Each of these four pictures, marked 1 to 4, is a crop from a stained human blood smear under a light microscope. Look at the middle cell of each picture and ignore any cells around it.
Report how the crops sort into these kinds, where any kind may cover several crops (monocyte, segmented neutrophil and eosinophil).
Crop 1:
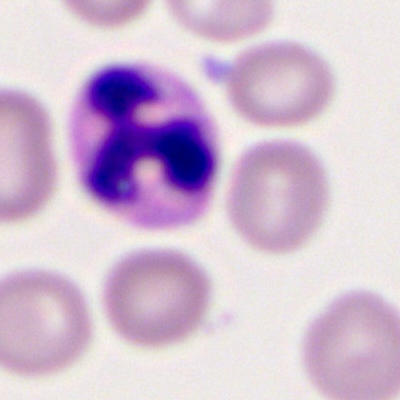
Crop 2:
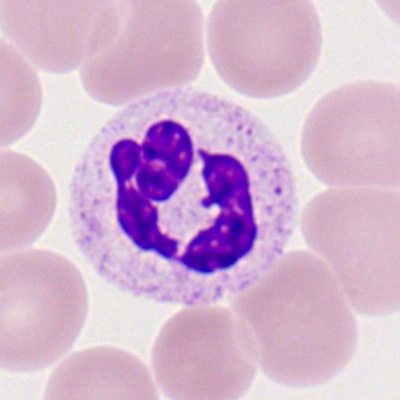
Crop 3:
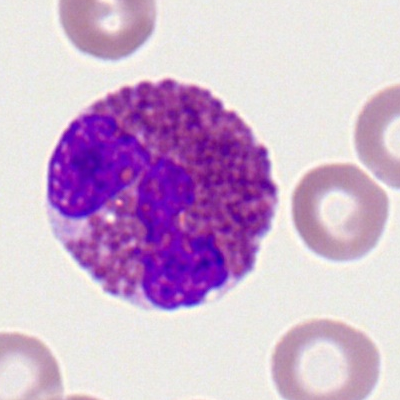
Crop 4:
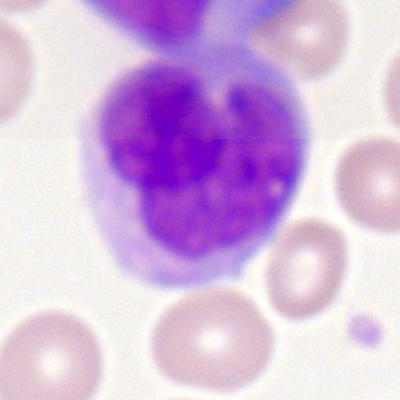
1: segmented neutrophil
2: segmented neutrophil
3: eosinophil
4: monocyte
